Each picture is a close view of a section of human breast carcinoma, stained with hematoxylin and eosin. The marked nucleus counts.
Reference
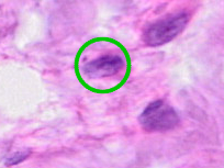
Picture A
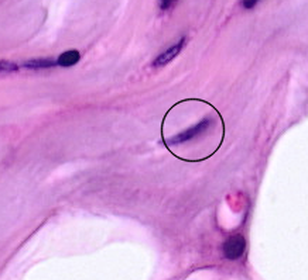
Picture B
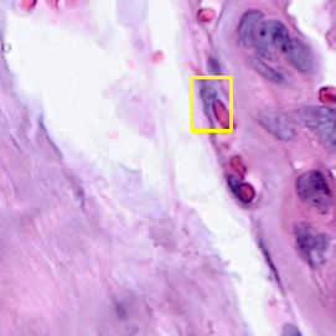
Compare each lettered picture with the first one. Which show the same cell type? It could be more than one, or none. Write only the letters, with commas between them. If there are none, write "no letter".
A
